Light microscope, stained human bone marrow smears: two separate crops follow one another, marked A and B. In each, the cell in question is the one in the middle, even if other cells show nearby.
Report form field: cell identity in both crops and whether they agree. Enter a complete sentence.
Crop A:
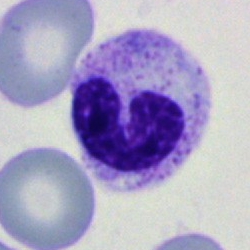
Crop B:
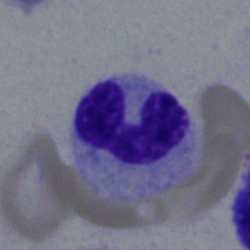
Yes, these two crops both show band neutrophils.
